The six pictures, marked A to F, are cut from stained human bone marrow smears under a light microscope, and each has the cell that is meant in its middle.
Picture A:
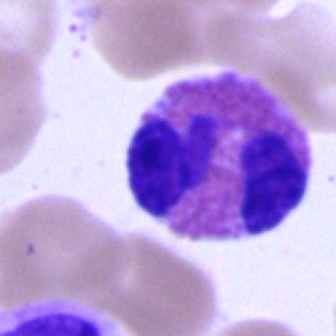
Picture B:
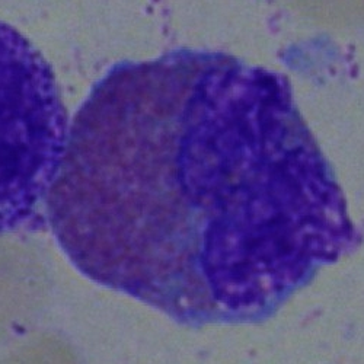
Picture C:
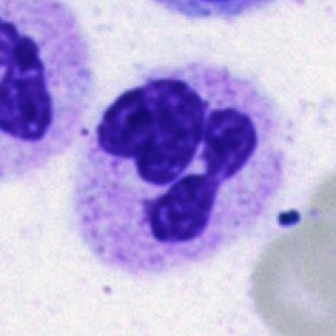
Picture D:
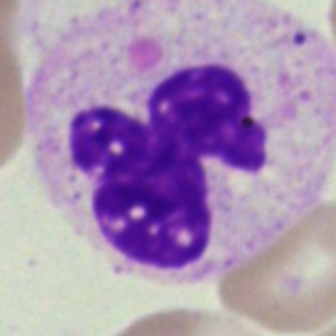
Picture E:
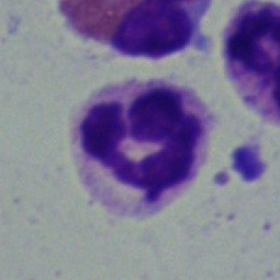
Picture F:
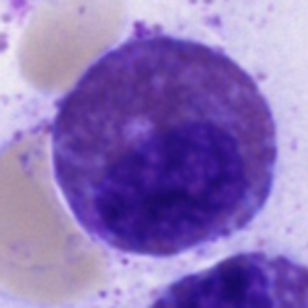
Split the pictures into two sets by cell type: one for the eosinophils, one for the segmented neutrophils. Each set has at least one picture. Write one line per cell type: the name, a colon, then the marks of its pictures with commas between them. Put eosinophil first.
eosinophil: A, B, F
segmented neutrophil: C, D, E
